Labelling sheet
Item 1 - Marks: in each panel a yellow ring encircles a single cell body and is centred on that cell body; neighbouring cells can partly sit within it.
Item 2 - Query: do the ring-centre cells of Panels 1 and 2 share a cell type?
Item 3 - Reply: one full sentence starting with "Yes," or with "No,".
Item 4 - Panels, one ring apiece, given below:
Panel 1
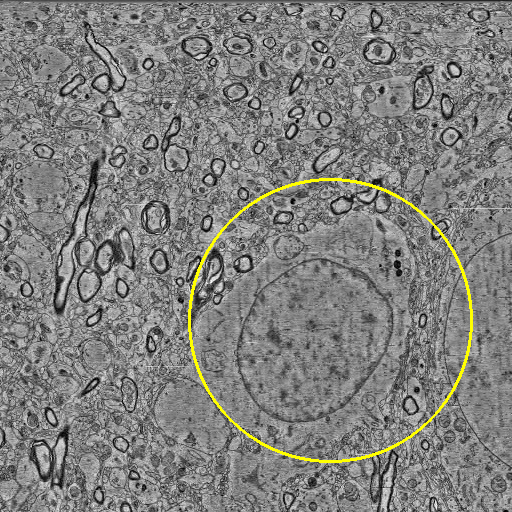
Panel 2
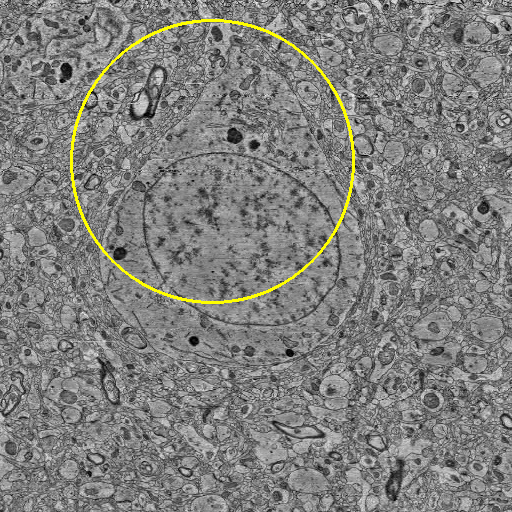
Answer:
No, Panel 1 and Panel 2 show two cell types at the centres of their rings.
